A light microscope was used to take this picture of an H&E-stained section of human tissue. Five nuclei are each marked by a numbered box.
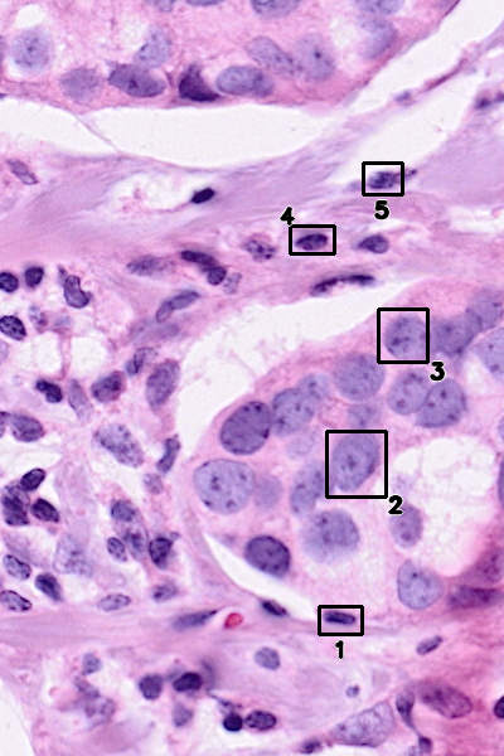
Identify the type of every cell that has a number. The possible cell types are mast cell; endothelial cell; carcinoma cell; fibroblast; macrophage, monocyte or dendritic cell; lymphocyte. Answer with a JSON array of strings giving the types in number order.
["lymphocyte", "carcinoma cell", "carcinoma cell", "lymphocyte", "lymphocyte"]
